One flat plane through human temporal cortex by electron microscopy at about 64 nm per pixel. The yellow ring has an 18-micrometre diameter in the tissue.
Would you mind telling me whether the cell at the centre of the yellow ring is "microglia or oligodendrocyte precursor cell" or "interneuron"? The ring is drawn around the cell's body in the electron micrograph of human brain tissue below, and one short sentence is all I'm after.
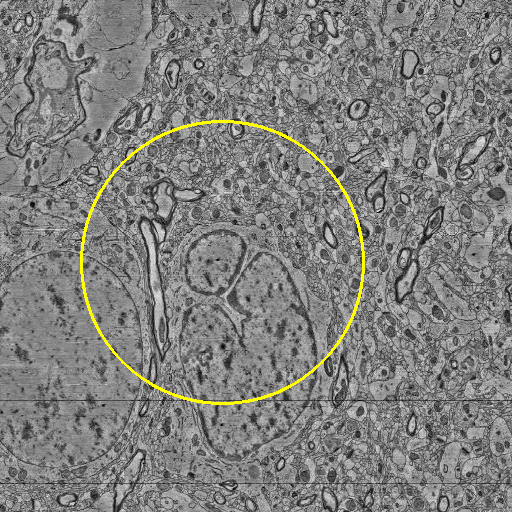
In the centre of the ring lies a microglial cell or oligodendrocyte precursor cell.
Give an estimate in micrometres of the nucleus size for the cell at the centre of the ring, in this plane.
The nucleus of the ringed cell is clearly longer than it is wide in this plane, about 15 by 9 micrometres.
